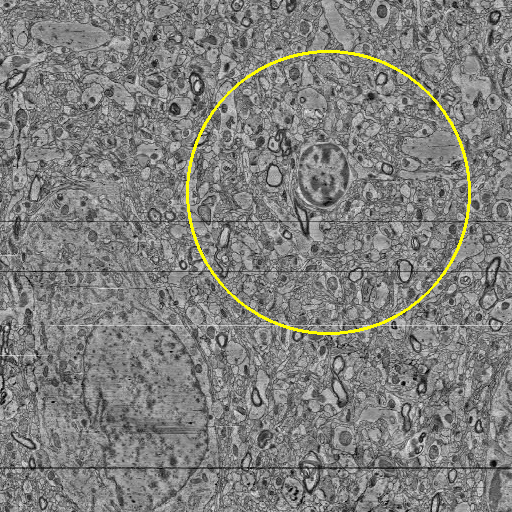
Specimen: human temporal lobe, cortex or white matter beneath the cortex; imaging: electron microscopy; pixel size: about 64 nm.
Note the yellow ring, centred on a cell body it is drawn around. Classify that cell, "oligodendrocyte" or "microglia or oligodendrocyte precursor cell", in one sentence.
The cell the ring is centred on is a microglial cell or oligodendrocyte precursor cell.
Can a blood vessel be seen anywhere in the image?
No, none shows.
